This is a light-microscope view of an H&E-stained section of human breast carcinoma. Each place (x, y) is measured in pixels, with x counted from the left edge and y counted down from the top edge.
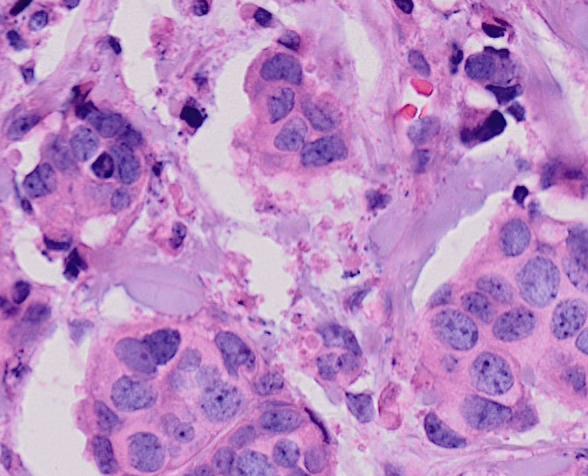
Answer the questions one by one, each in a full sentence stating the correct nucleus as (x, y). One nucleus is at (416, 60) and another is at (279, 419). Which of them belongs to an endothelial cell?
Belonging to an endothelial cell is the nucleus at (416, 60).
